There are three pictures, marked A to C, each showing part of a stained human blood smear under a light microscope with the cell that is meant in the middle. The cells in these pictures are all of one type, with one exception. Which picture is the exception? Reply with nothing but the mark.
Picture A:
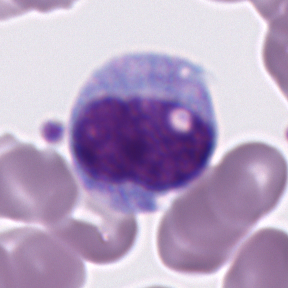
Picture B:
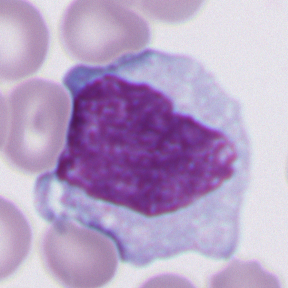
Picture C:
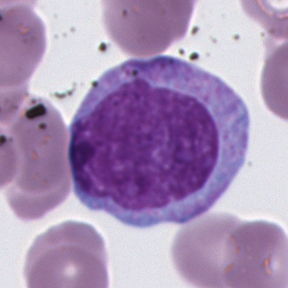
C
